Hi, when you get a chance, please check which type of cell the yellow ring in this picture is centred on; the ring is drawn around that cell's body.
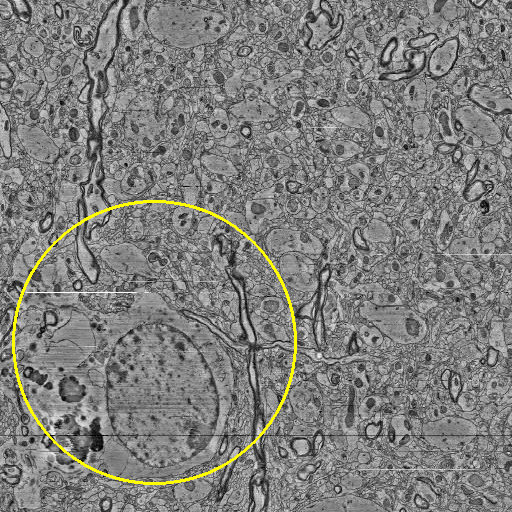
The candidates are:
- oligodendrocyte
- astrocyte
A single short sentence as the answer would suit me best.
The ring is drawn around the body of an astrocyte.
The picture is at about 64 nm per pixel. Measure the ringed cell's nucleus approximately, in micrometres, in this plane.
The nucleus of the ringed cell is approximately 10 by 7 micrometres in this plane.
